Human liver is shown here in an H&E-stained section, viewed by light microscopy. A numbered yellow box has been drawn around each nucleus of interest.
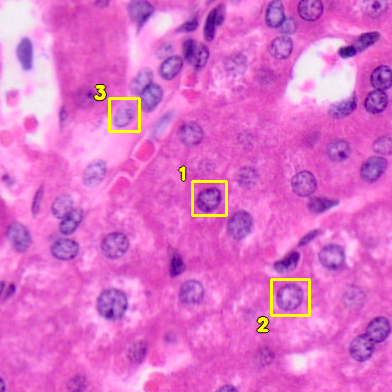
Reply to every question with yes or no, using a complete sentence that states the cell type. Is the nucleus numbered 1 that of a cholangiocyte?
No, the cell marked 1 is a hepatocyte rather than a cholangiocyte.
